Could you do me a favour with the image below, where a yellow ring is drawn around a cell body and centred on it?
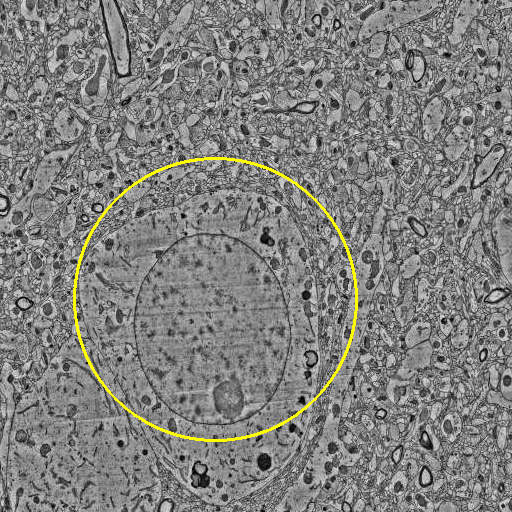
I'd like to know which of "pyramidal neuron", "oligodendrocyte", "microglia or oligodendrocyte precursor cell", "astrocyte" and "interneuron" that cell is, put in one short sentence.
The cell at the ring's centre is a pyramidal neuron.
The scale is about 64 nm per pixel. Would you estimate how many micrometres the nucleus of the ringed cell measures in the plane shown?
The nucleus of the ringed cell is approximately 12 by 10 micrometres in this plane.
